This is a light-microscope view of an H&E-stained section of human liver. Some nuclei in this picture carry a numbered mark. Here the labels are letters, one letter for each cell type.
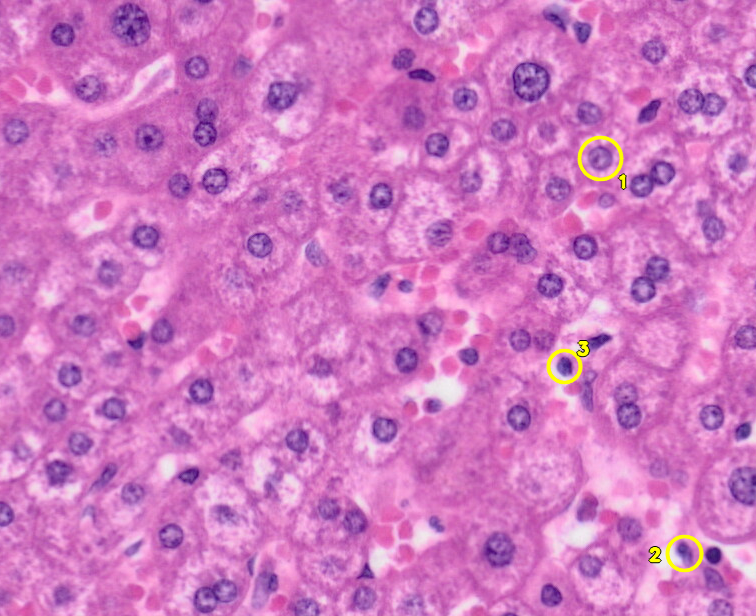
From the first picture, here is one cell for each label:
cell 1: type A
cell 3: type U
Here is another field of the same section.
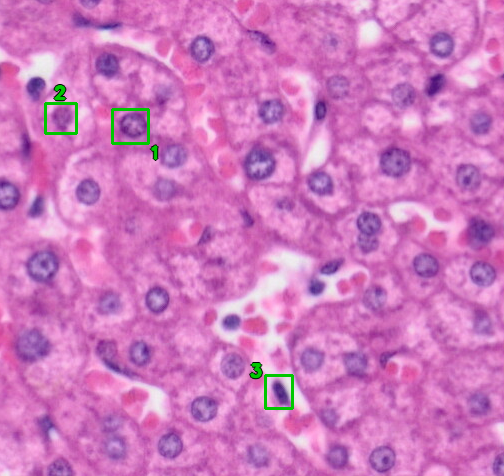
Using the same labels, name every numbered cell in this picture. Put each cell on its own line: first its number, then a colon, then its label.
1: type A
2: type A
3: type U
